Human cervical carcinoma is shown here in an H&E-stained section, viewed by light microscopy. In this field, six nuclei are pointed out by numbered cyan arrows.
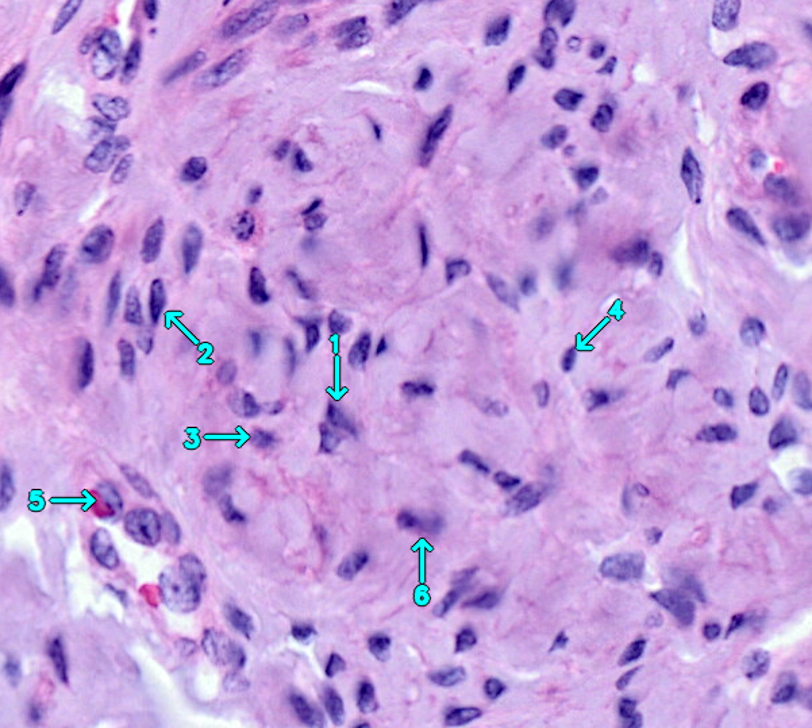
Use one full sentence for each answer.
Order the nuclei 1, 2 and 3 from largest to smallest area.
From largest to smallest, the order is 1, 2, 3.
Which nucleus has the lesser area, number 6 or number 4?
With nucleus 6 about 3 times its size, nucleus 4 is the smaller of the two.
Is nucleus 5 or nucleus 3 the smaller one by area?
Nucleus 3 is the smaller one; nucleus 5 covers about 2.5 times its area.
